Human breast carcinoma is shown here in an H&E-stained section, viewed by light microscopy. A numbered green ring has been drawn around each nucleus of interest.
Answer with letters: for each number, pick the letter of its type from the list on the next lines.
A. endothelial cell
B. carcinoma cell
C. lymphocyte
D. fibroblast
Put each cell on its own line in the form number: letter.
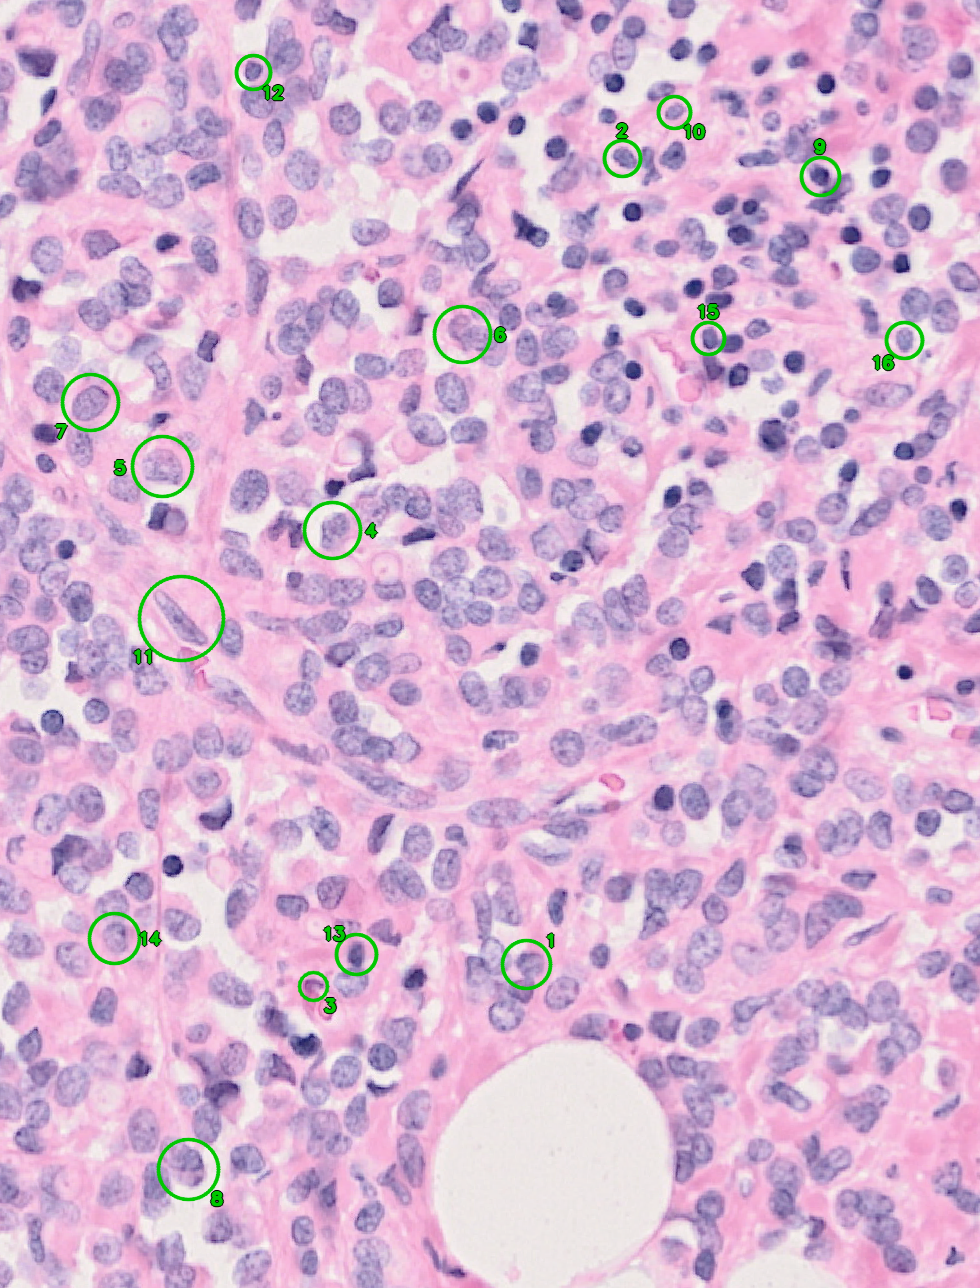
1: B
2: C
3: A
4: B
5: B
6: B
7: B
8: B
9: C
10: C
11: A
12: C
13: C
14: B
15: C
16: C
